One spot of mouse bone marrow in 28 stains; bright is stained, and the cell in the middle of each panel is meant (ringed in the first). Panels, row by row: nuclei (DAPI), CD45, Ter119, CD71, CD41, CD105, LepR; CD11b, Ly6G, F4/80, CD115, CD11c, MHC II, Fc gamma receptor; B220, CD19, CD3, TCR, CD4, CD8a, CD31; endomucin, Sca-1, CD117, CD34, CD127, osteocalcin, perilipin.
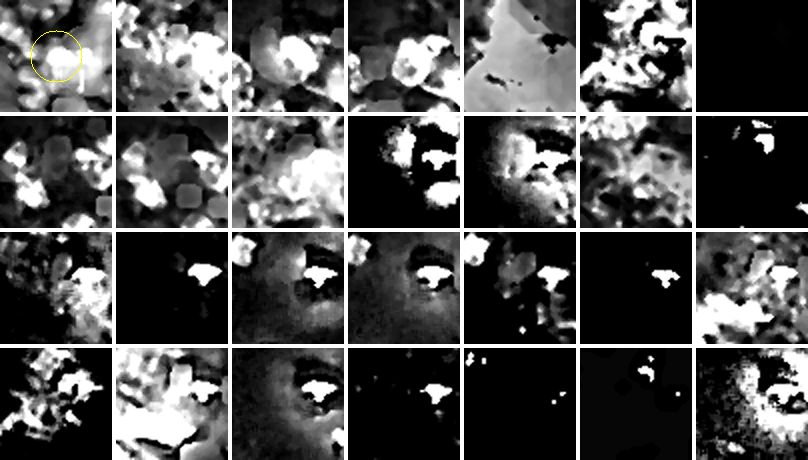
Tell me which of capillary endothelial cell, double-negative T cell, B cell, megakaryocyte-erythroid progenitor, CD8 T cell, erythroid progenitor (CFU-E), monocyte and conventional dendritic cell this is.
The picture shows a conventional dendritic cell.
